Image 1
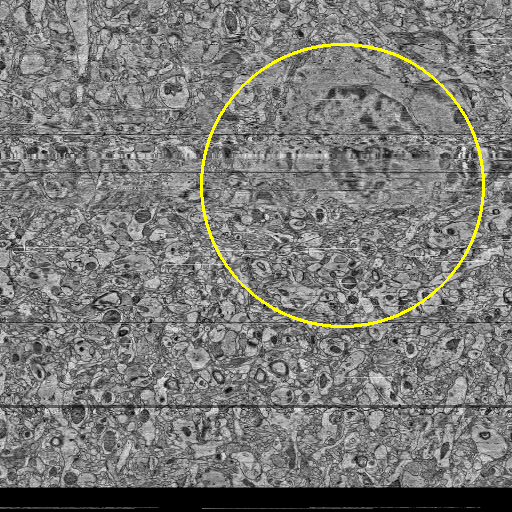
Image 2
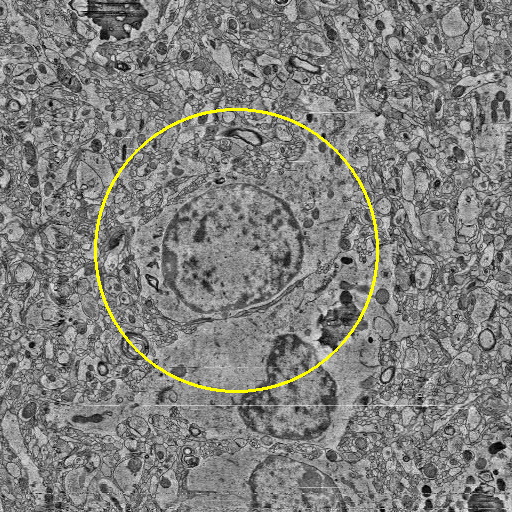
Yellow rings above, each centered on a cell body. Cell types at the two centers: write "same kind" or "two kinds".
same kind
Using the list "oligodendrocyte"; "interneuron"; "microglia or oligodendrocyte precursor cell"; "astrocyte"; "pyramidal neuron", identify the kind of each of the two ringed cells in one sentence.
The second cell is an astrocyte, just as the first is.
